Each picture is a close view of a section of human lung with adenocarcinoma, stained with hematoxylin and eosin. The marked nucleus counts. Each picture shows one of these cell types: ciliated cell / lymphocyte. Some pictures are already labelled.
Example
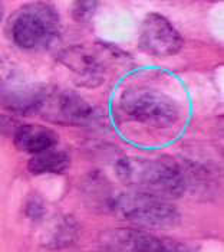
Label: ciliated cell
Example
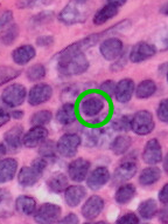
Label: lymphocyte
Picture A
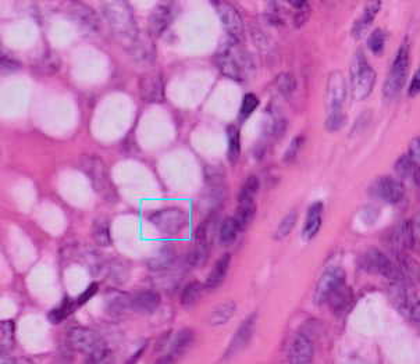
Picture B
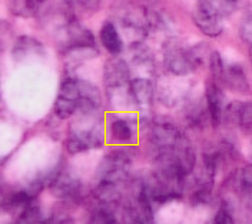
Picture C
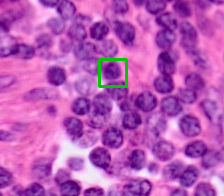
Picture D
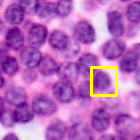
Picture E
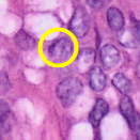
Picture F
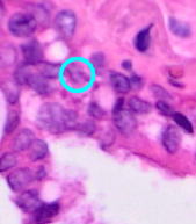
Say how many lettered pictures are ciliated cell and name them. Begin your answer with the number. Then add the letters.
Count: 4 (A, B, E, F)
